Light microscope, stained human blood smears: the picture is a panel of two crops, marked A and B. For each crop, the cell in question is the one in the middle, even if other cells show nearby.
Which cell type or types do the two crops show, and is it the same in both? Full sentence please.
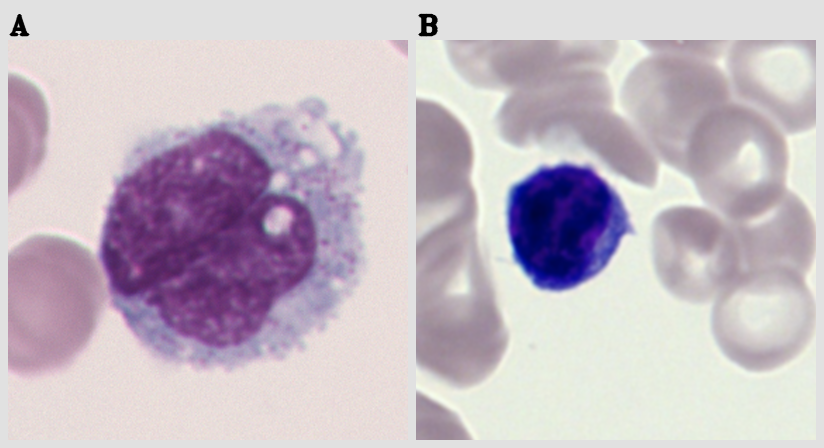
No, crop A contains a monocyte, whereas crop B contains a lymphocyte.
